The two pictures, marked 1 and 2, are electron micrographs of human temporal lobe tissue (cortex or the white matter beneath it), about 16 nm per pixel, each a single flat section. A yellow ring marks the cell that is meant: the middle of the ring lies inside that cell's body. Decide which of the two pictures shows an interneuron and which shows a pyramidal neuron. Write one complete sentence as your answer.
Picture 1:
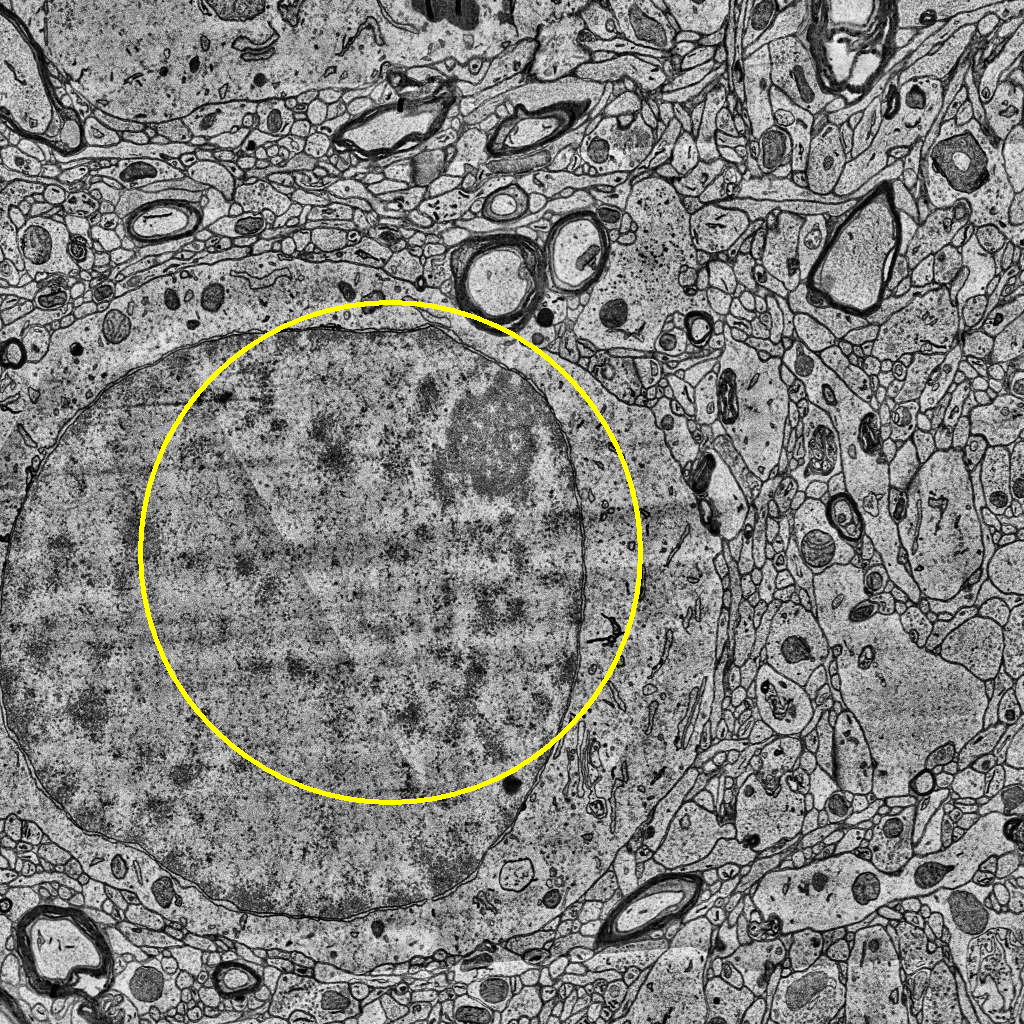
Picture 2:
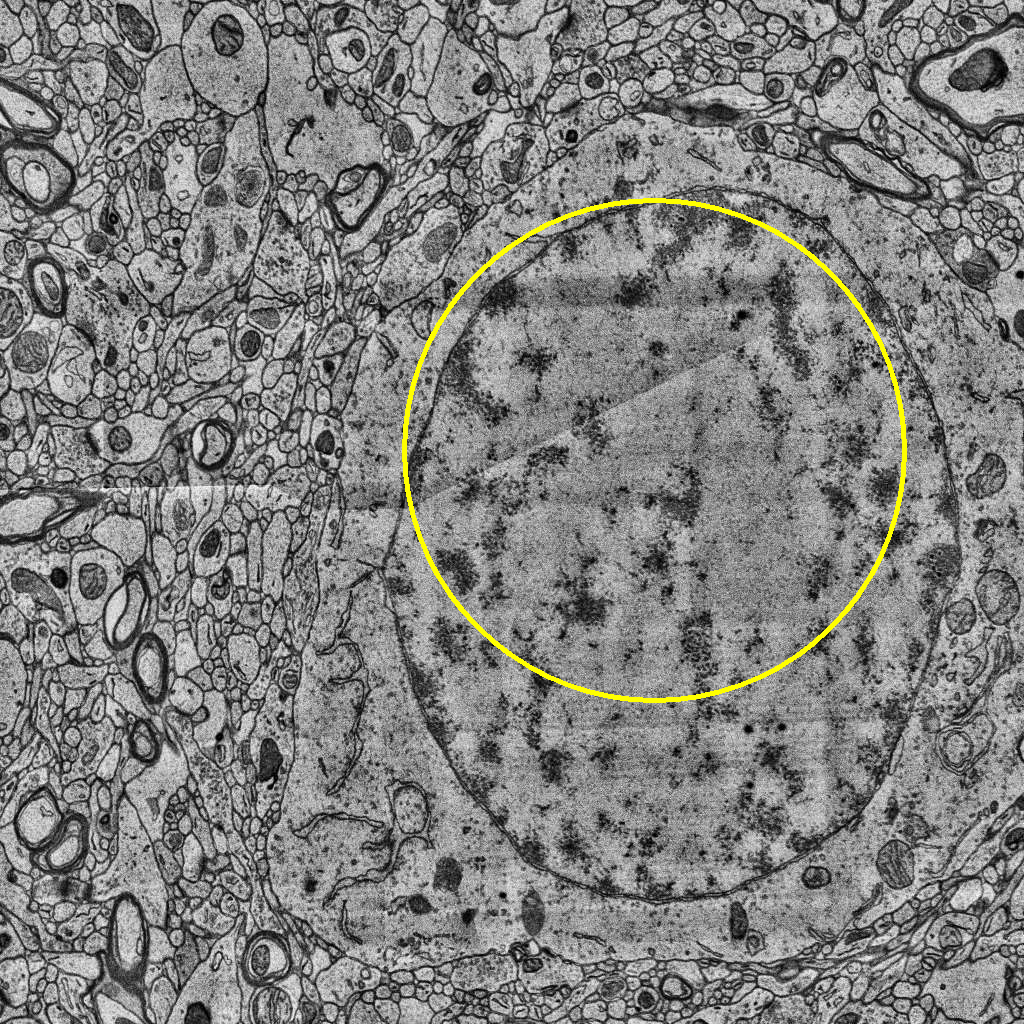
It is picture 1 that shows an interneuron, and picture 2 that shows a pyramidal neuron.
